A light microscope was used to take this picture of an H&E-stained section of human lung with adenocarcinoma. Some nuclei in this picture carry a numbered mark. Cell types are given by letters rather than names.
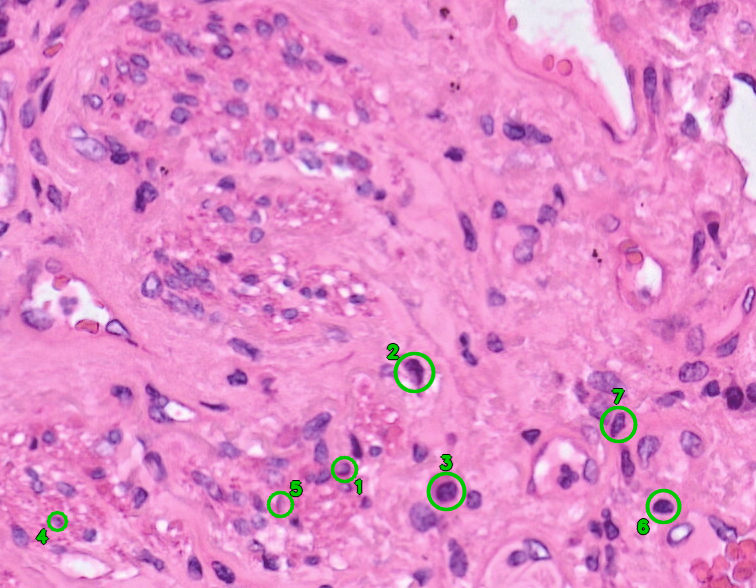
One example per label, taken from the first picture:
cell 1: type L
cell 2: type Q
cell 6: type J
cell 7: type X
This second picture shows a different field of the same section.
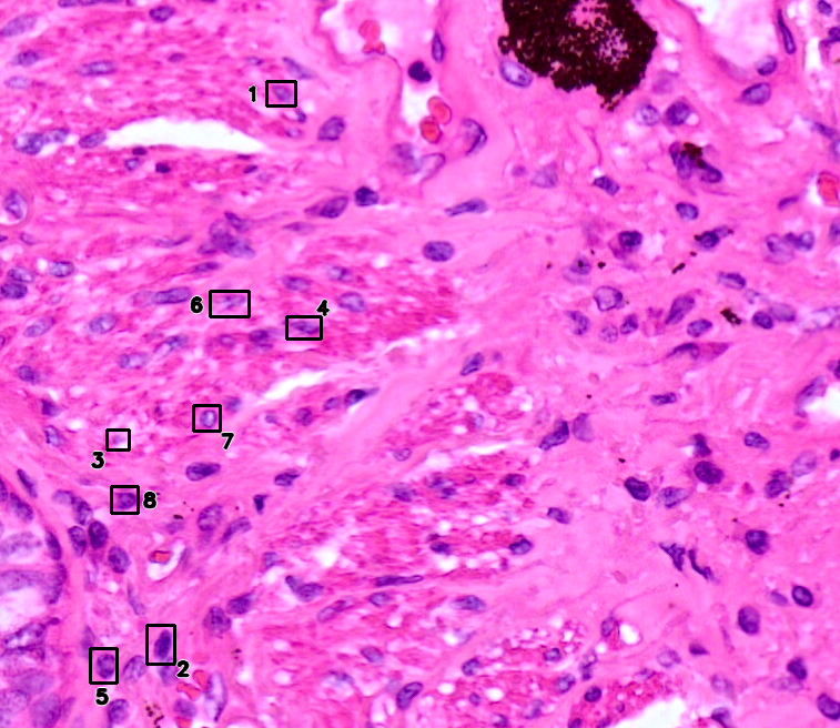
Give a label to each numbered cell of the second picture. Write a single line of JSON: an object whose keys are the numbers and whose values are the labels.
{"1": "type L", "2": "type J", "3": "type L", "4": "type L", "5": "type X", "6": "type L", "7": "type L", "8": "type Q"}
